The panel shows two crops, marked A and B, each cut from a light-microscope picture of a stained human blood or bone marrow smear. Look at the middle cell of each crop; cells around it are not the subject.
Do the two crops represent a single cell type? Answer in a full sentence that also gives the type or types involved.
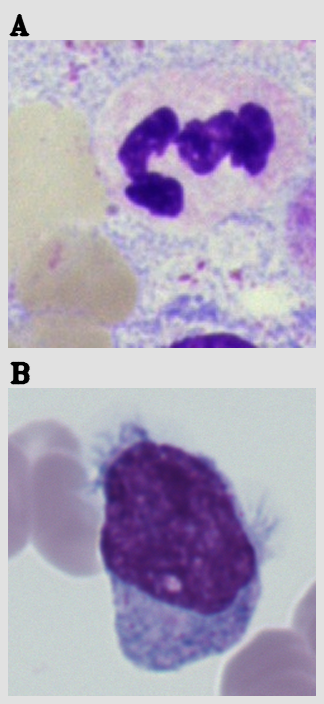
No, while a segmented neutrophil is found in crop A, a monocyte is found in crop B.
